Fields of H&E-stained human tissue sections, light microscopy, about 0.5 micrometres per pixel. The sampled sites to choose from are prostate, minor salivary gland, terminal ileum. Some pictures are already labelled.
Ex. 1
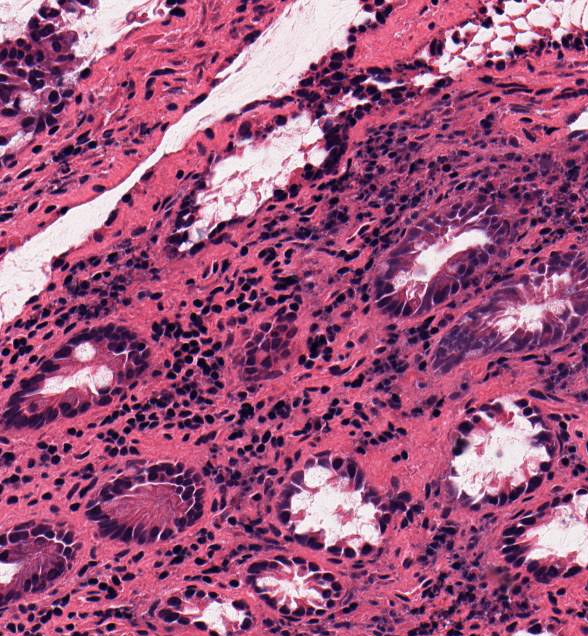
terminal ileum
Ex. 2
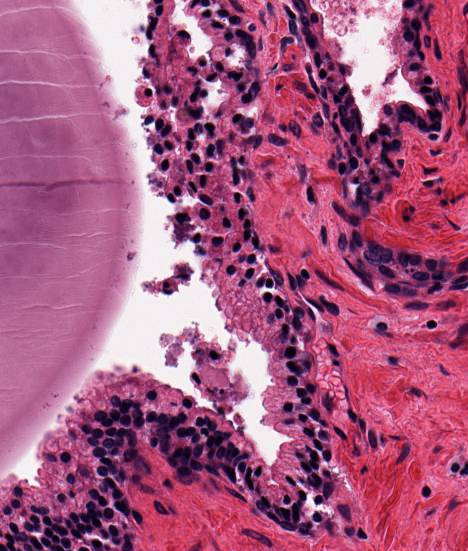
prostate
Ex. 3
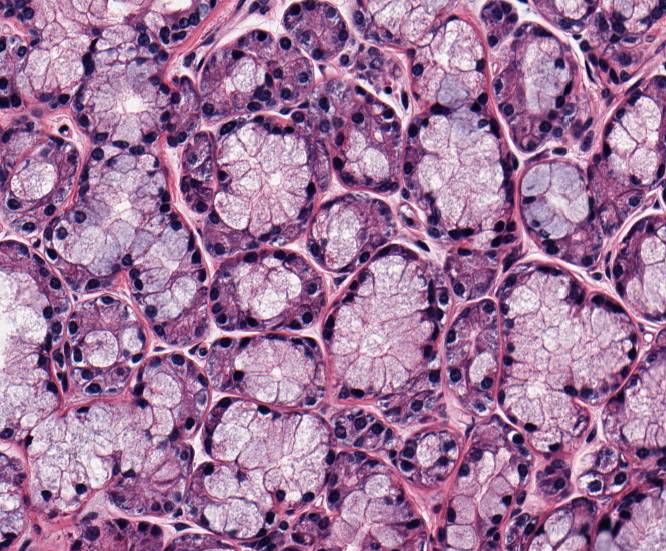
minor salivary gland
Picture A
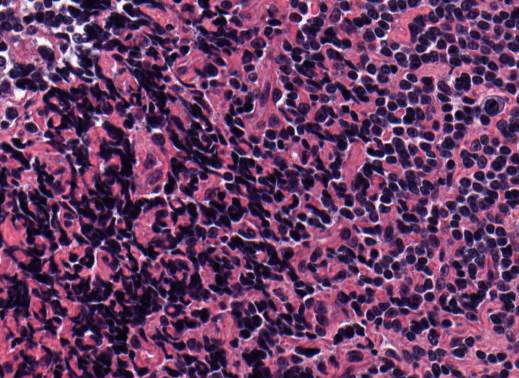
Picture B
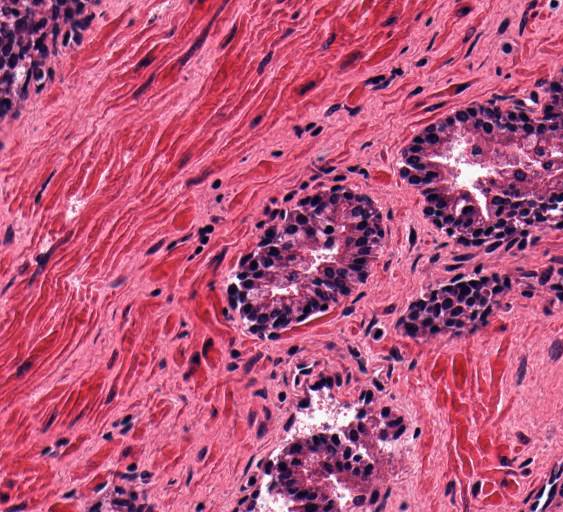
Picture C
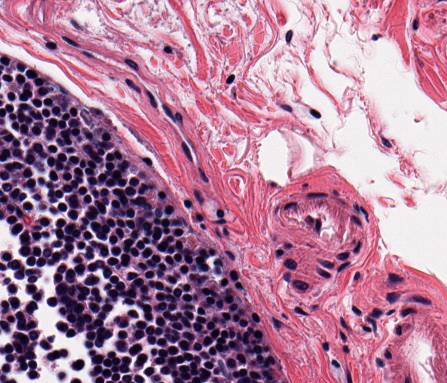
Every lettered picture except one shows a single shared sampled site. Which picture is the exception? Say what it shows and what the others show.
B: prostate; all the others: terminal ileum.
